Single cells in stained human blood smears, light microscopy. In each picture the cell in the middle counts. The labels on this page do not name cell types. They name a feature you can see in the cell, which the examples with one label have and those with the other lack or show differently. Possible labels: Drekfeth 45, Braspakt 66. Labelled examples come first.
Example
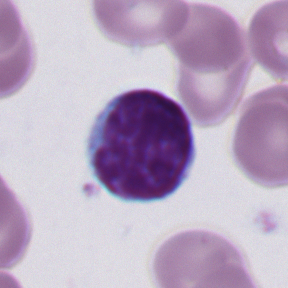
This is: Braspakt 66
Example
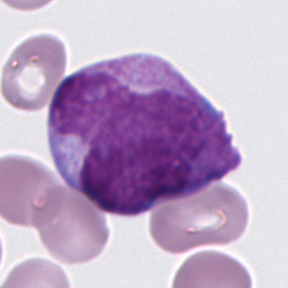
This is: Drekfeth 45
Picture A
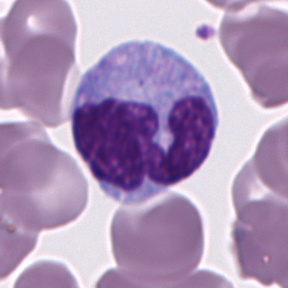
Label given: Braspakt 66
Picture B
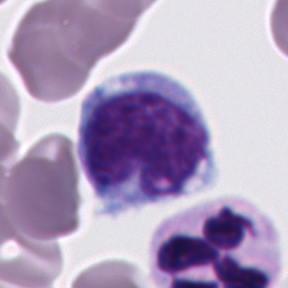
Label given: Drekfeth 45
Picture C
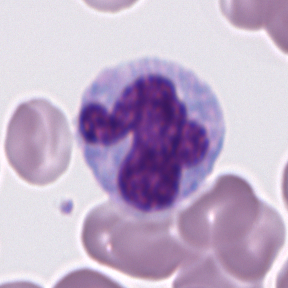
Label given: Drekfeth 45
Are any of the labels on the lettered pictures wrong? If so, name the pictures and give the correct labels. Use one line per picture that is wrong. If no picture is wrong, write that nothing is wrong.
C: not Drekfeth 45 but Braspakt 66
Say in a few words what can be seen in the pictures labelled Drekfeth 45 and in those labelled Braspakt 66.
Drekfeth 45, ragged outline or projections; Braspakt 66, smooth outline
